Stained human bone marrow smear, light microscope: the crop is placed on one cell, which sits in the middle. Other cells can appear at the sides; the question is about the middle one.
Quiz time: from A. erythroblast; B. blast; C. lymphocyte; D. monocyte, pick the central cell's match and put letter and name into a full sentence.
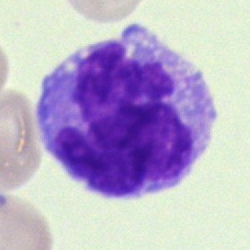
The cell centred in the crop is a monocyte, and the correct option is thus D.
